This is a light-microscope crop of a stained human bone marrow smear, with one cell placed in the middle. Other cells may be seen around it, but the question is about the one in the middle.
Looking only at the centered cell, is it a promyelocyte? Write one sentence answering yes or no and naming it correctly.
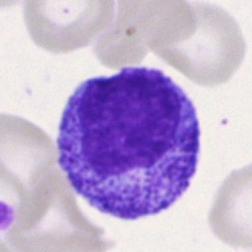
No, what lies at the heart of the crop is a myelocyte, not a promyelocyte.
